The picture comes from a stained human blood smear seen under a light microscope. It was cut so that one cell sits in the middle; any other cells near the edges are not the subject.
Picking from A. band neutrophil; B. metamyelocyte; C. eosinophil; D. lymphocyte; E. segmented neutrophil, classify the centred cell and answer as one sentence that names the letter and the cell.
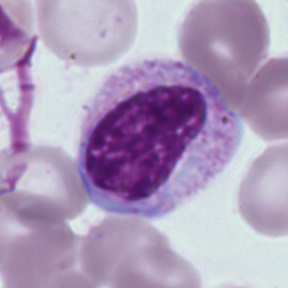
Option B is correct, naming the cell in the middle as a metamyelocyte.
